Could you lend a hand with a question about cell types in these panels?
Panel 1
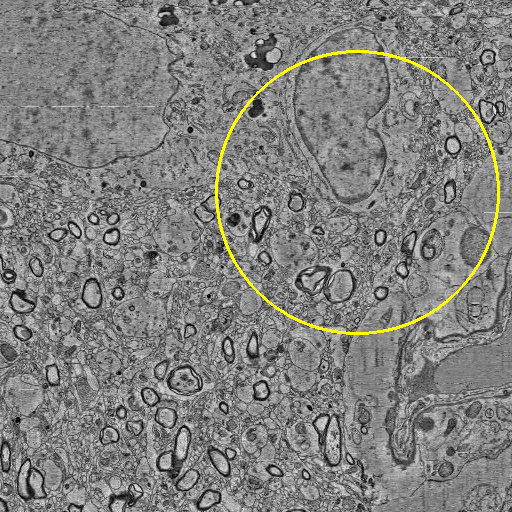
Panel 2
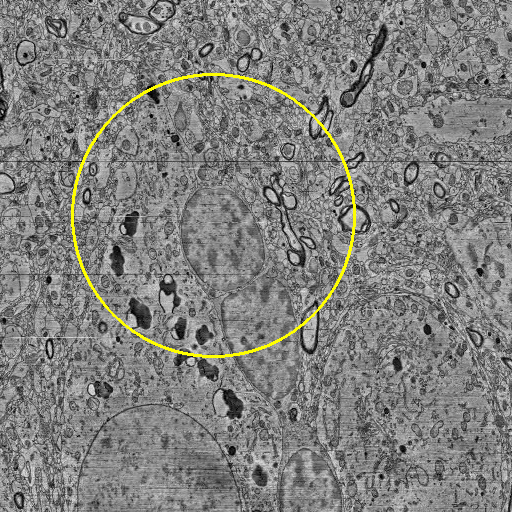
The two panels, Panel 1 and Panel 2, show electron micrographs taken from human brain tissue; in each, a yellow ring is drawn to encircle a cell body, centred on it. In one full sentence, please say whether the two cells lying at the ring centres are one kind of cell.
No, the cells at the ring centres in the two panels are two kinds of cell.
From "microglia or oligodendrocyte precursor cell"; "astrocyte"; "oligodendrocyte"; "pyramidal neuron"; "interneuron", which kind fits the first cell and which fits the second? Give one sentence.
The cell marked in the first picture is a microglial cell or oligodendrocyte precursor cell, and the one marked in the second is an oligodendrocyte.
